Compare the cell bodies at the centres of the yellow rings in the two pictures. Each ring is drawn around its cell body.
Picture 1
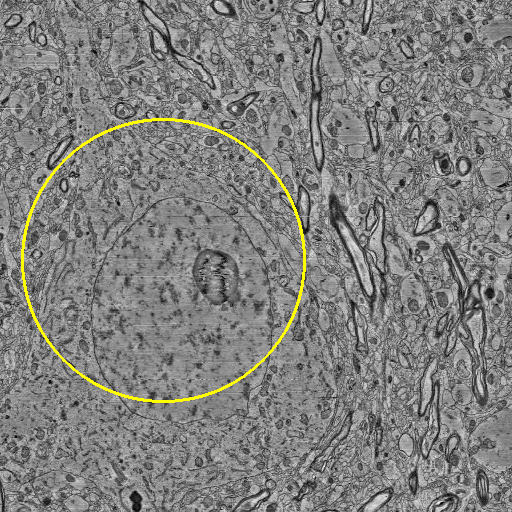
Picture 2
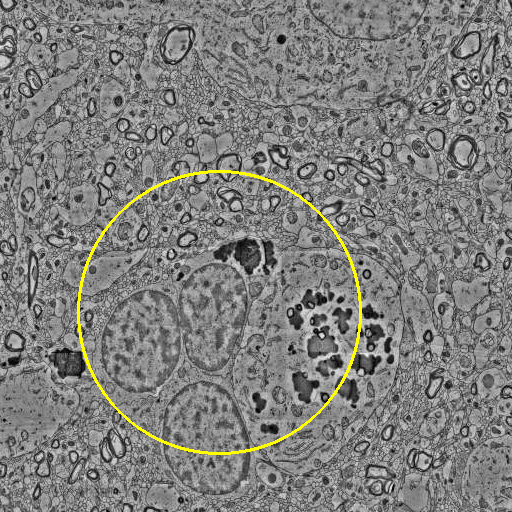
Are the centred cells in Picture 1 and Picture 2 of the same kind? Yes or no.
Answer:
no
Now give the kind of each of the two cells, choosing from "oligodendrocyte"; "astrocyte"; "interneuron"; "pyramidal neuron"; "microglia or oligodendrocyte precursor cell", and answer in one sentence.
The cell in the first picture is a pyramidal neuron, and the cell in the second is an oligodendrocyte.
